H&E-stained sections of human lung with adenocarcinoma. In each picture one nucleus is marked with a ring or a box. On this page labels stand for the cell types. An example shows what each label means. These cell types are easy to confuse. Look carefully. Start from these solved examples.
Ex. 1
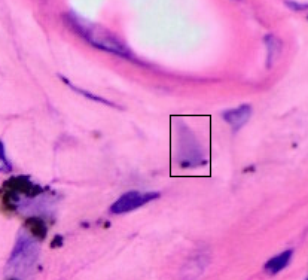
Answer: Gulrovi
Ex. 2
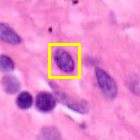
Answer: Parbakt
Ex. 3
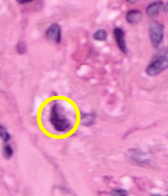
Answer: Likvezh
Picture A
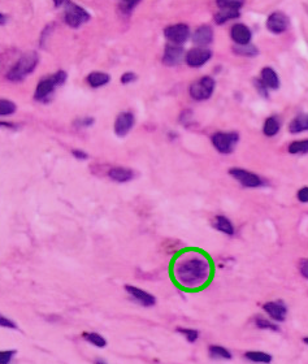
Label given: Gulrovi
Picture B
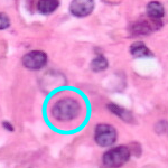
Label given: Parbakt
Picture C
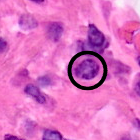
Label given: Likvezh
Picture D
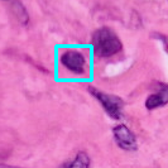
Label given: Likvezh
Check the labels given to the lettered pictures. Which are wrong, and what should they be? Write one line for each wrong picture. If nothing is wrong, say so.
Wrong: A (Gulrovi); correct: Likvezh
Wrong: D (Likvezh); correct: Parbakt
